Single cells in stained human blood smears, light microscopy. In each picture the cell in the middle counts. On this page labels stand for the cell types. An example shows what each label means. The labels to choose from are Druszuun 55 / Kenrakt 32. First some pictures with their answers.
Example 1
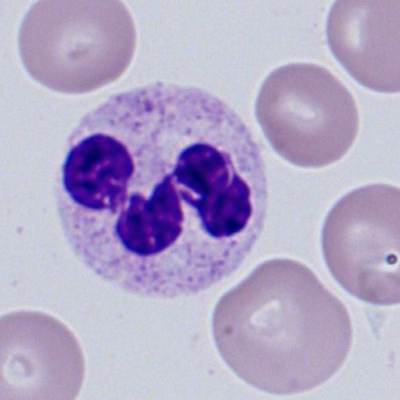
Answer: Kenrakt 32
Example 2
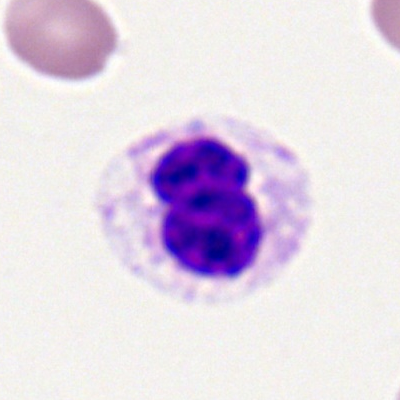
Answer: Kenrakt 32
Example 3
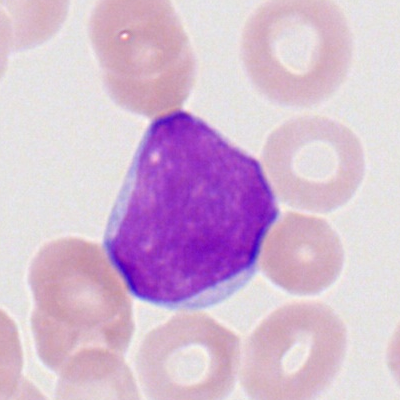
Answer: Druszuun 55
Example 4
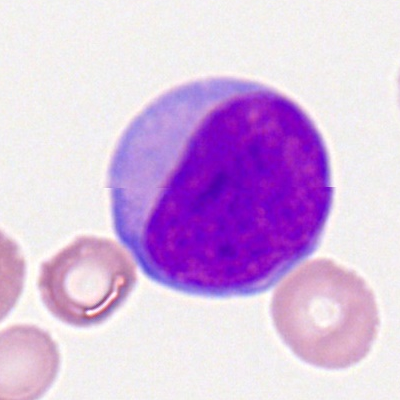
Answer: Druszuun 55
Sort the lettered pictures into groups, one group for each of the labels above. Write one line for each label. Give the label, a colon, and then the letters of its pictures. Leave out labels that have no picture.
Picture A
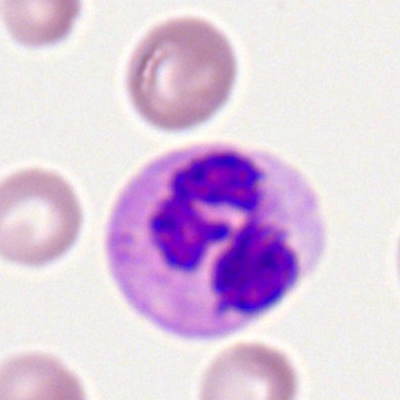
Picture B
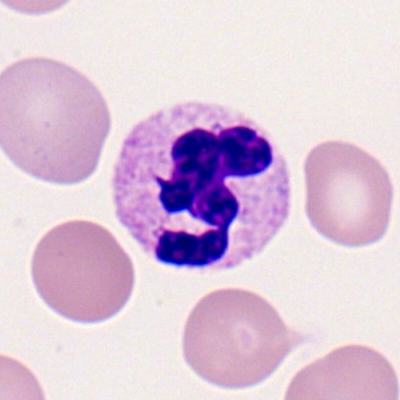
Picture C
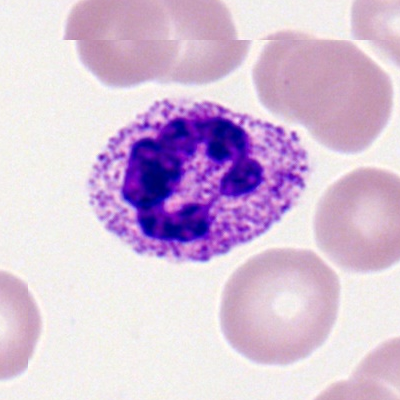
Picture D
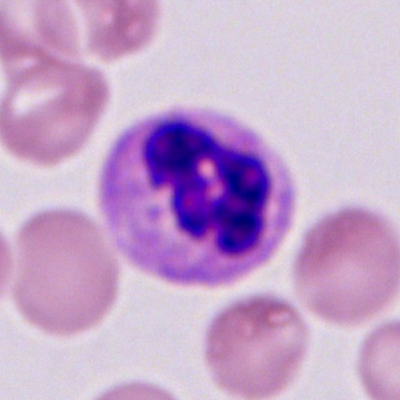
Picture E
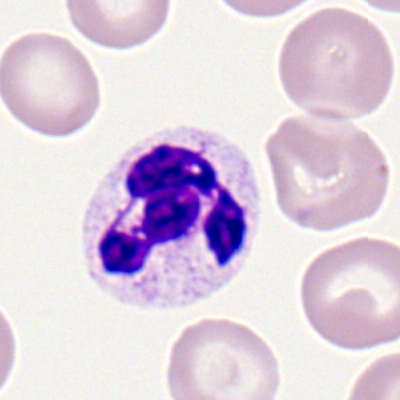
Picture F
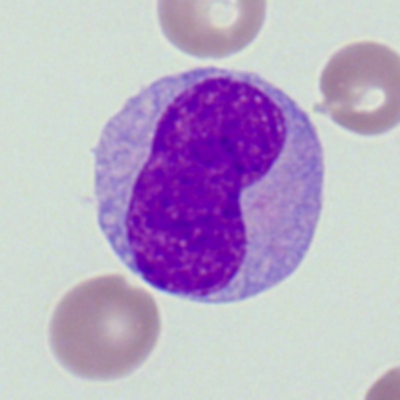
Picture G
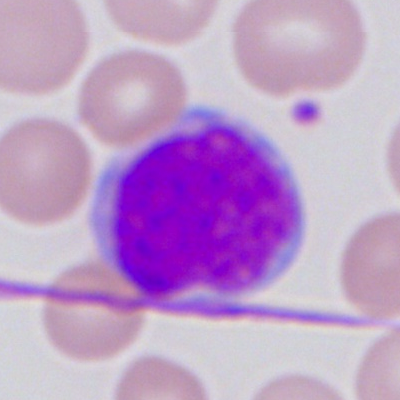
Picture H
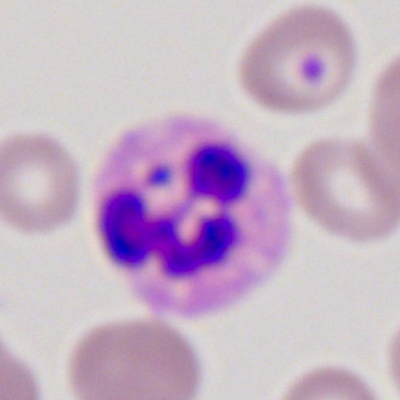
Druszuun 55: F, G
Kenrakt 32: A, B, C, D, E, H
